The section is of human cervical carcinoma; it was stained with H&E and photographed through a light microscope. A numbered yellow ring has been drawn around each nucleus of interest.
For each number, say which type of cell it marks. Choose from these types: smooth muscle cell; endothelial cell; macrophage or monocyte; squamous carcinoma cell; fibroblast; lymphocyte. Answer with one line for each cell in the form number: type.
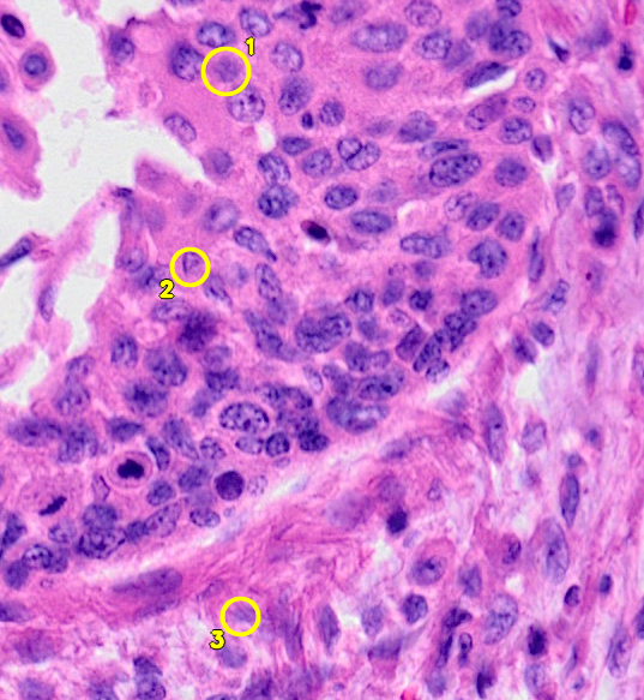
1: squamous carcinoma cell
2: squamous carcinoma cell
3: fibroblast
